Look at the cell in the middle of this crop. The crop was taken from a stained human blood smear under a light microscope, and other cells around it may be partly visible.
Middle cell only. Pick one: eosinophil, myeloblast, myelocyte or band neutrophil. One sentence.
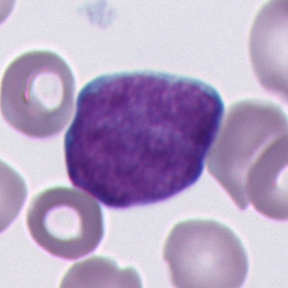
The cell around which this crop is centred is a myeloblast.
